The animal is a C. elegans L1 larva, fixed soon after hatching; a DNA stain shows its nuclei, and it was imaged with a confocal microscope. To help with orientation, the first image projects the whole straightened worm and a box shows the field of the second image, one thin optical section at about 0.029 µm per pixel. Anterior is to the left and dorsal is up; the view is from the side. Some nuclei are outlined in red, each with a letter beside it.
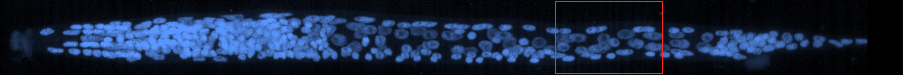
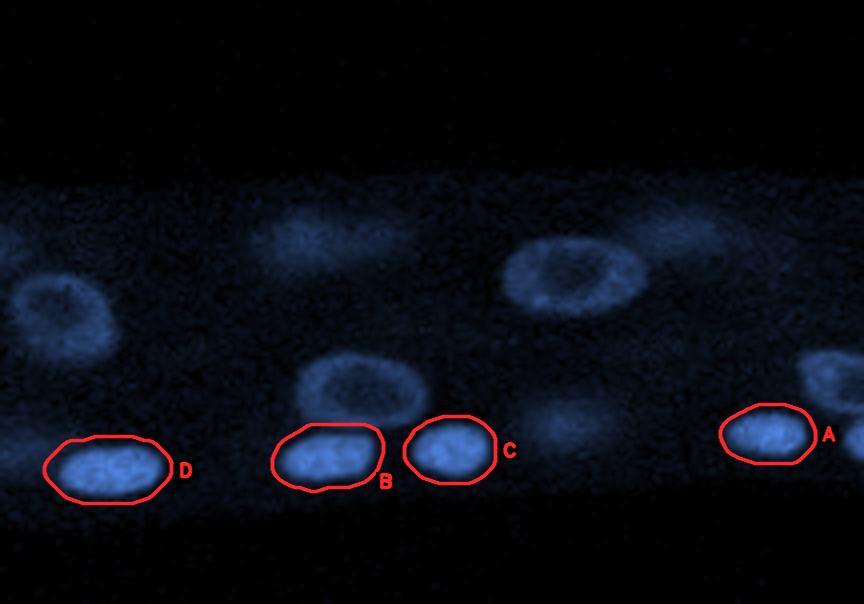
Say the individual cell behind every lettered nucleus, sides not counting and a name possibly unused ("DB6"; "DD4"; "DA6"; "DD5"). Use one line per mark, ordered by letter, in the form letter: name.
A: DD5
B: DB6
C: DA6
D: DD4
